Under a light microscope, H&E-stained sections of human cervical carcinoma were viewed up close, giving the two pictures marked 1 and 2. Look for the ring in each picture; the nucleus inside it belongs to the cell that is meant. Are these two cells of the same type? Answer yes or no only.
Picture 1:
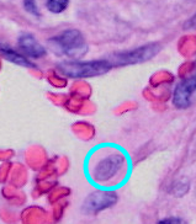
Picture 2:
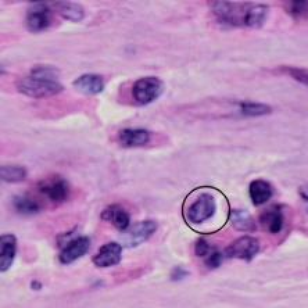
no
